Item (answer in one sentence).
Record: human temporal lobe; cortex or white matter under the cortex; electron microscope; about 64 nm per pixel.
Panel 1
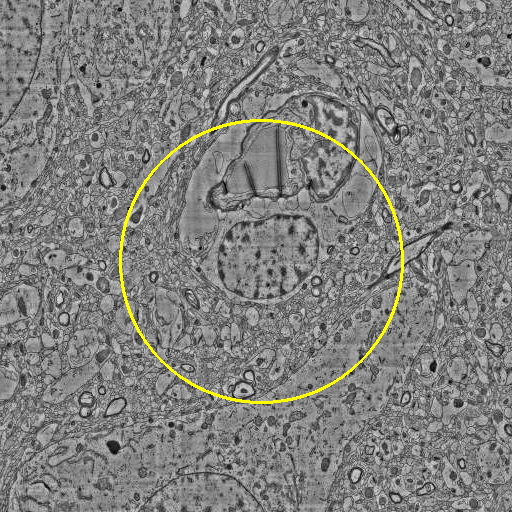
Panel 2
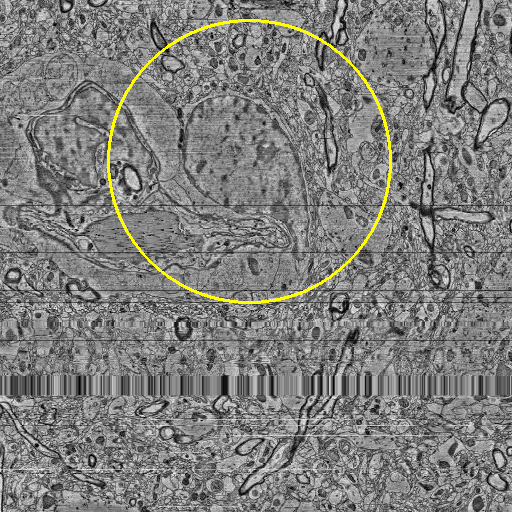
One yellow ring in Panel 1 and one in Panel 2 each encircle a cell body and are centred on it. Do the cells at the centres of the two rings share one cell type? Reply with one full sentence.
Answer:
Yes, Panel 1 and Panel 2 show cells of one type at the centres of their rings.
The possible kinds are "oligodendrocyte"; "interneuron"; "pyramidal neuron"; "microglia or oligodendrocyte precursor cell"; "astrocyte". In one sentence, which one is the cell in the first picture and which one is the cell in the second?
Both pictures show a microglial cell or oligodendrocyte precursor cell at the centre of the ring.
